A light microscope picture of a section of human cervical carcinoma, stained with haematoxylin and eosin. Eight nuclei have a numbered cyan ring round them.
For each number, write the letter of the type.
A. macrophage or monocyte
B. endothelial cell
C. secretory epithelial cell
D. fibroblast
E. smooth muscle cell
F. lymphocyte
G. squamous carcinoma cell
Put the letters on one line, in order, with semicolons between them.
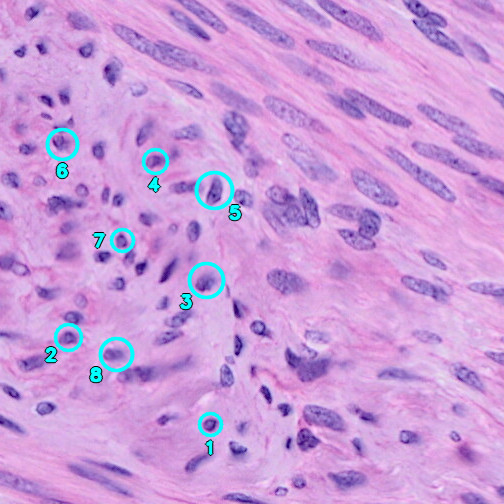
D; E; D; E; D; E; E; D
